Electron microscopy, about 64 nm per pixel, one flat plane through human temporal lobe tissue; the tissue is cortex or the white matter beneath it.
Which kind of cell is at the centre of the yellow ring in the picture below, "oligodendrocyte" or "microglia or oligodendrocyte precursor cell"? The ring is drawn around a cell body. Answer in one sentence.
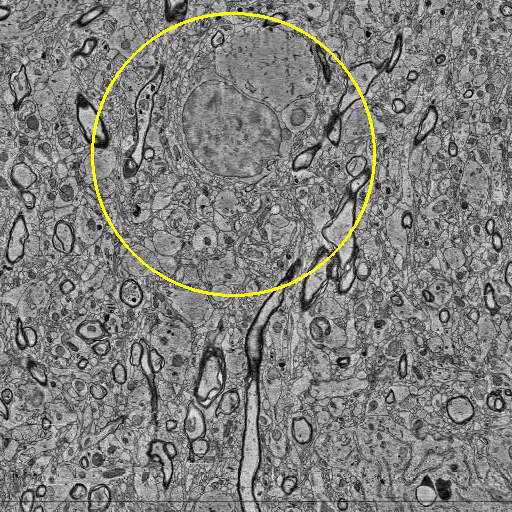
The ring's central cell is an oligodendrocyte.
